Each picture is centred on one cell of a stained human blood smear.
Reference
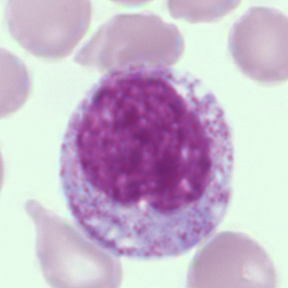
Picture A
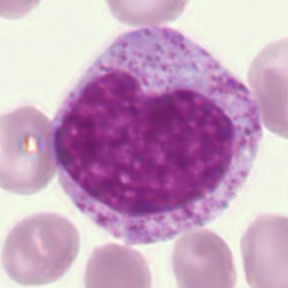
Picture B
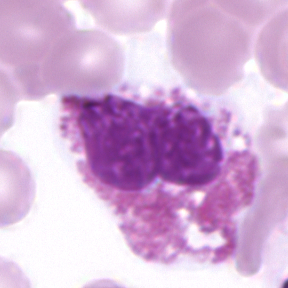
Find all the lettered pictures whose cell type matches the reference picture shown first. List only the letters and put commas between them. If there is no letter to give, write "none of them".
A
